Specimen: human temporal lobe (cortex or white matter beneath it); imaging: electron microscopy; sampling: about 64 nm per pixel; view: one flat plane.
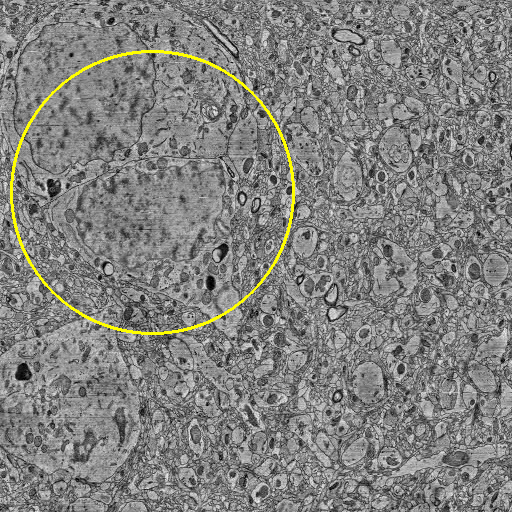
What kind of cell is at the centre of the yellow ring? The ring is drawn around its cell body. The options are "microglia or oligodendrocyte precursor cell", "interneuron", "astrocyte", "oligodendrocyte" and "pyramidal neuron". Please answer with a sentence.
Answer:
The yellow ring marks the cell body of an interneuron.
